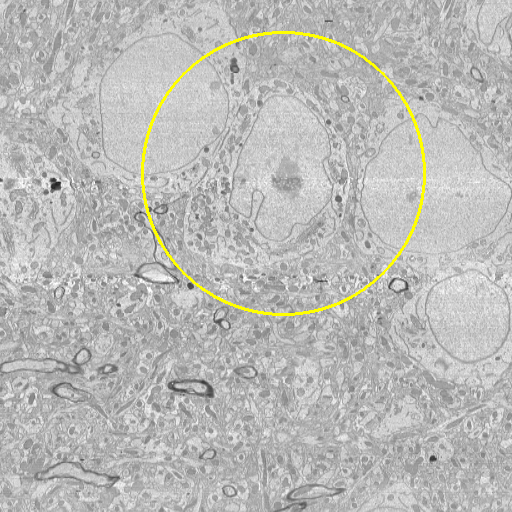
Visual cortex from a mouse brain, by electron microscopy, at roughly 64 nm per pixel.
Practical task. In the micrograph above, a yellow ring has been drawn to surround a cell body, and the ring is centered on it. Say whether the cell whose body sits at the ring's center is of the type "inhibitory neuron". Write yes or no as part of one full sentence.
Yes, the cell at the center of the ring above is of the type asked about.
